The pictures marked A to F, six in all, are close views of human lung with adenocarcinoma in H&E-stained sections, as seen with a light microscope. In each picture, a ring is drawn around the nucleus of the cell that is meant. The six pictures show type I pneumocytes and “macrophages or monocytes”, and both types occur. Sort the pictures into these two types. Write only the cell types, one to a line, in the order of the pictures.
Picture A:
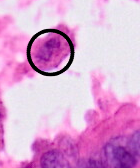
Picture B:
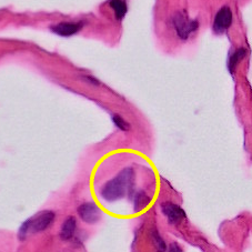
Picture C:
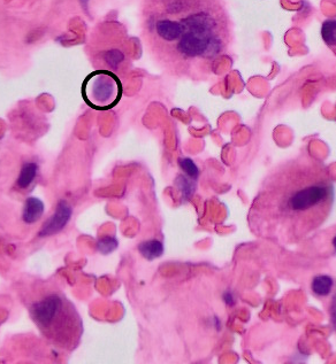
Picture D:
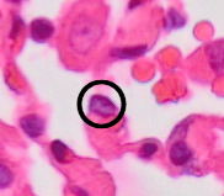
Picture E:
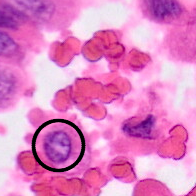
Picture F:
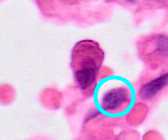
macrophage or monocyte
type I pneumocyte
type I pneumocyte
type I pneumocyte
macrophage or monocyte
type I pneumocyte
